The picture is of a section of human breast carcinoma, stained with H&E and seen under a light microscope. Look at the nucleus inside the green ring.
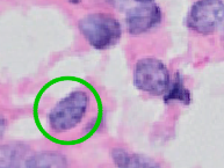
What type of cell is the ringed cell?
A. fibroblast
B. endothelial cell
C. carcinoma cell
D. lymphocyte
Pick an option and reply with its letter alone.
C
